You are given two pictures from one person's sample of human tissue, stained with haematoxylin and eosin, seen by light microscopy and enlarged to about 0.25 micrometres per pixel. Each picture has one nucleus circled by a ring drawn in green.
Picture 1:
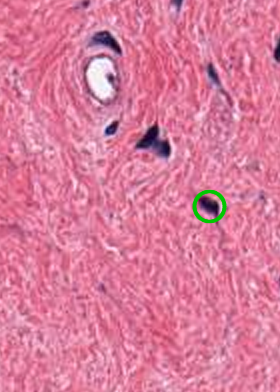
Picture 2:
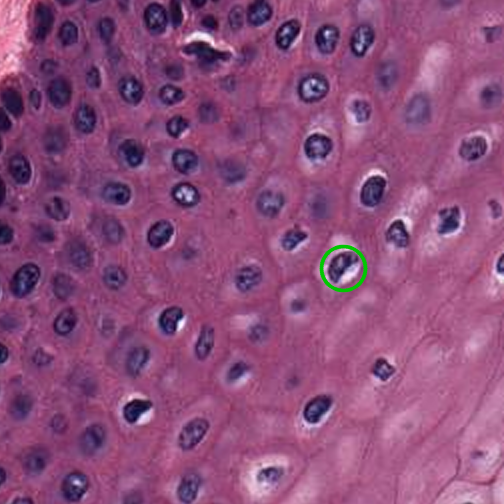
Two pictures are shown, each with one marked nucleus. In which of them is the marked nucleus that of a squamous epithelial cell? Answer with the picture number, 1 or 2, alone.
2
